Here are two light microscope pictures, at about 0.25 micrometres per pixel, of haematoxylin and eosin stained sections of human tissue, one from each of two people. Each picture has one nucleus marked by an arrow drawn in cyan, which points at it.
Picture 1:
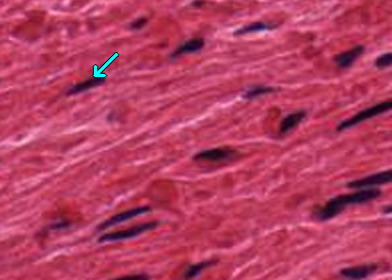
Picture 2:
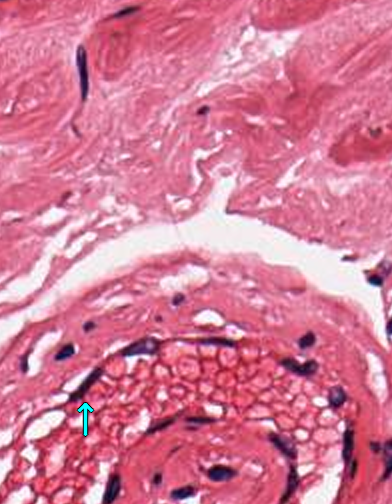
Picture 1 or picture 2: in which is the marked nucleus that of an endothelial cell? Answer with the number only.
2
